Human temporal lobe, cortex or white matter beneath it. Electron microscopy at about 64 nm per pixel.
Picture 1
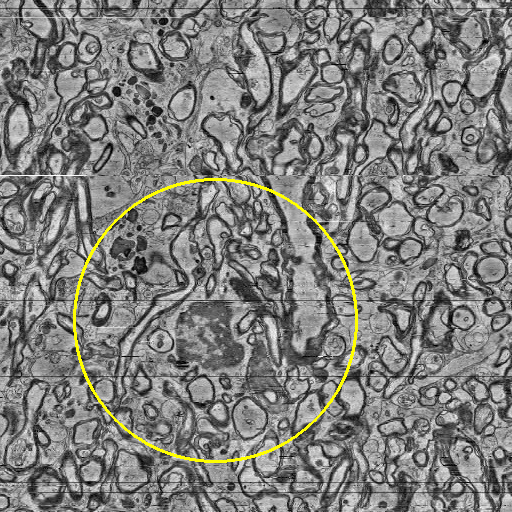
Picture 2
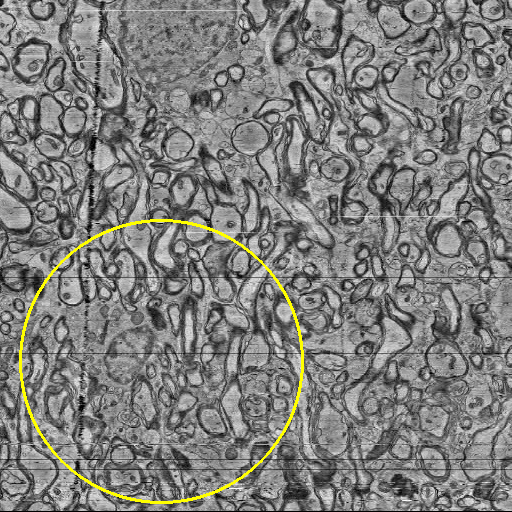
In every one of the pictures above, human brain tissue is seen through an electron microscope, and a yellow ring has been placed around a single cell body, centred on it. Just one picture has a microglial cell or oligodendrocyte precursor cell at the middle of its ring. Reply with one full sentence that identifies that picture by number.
It is picture 1 that shows the wanted cell at its ring's centre.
